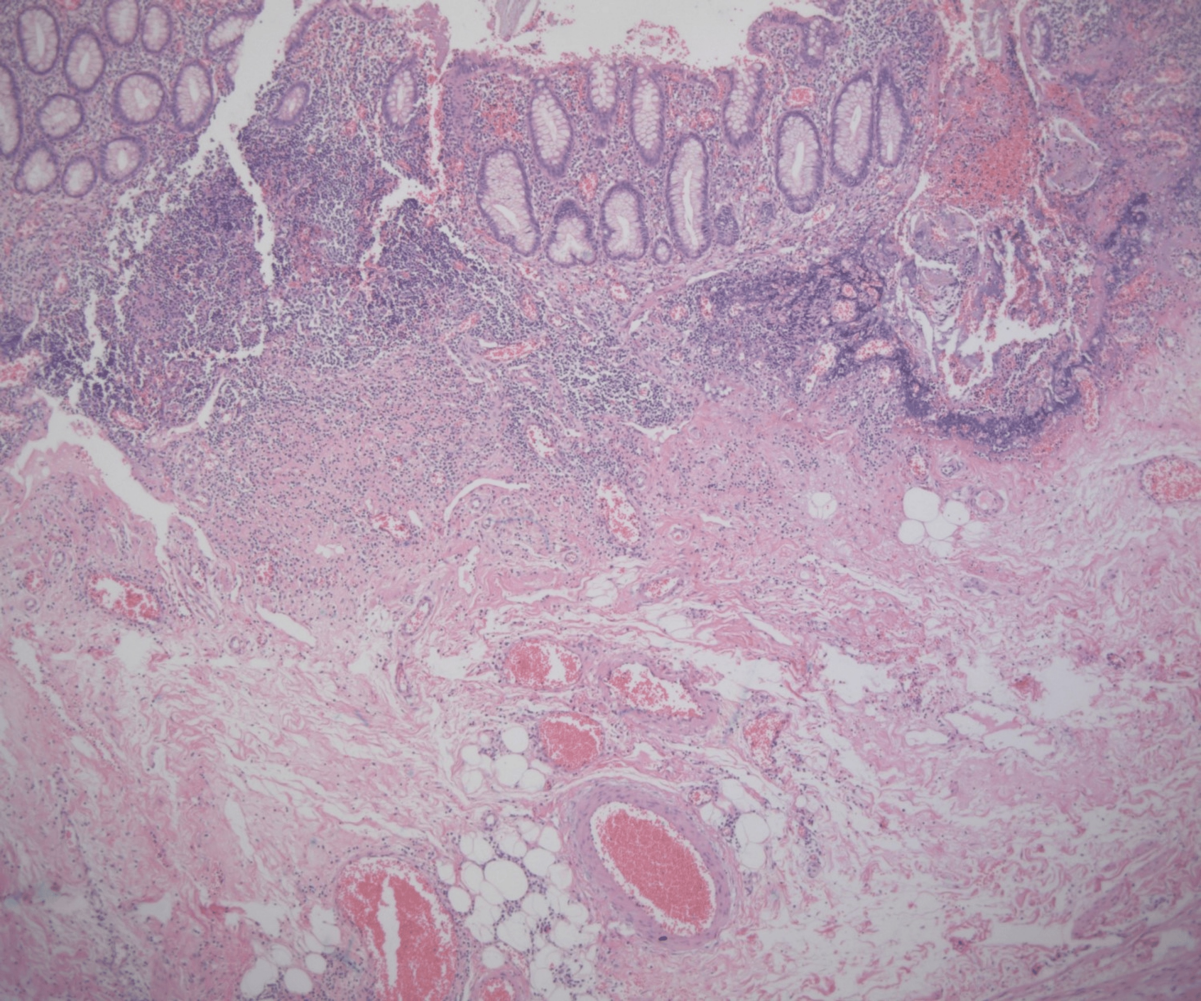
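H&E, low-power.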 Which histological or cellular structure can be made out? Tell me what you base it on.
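The crypts are lined by a single layer of tall cells. The lining cells have dark basal nuclei and pale mucin-filled cytoplasm. So: simple columnar epithelium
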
